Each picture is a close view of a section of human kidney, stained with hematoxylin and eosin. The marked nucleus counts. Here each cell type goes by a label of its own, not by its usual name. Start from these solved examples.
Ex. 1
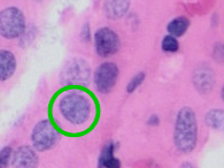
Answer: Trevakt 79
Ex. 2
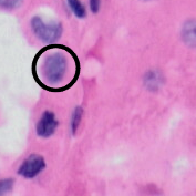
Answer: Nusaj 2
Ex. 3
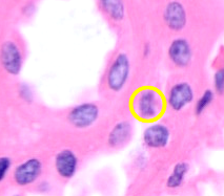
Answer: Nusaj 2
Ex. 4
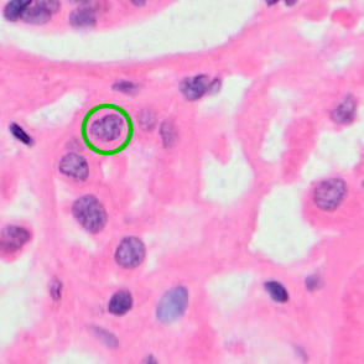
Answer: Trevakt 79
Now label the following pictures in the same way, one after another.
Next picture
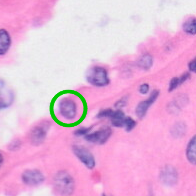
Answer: Nusaj 2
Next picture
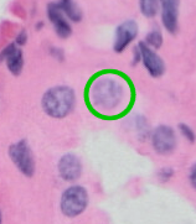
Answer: Trevakt 79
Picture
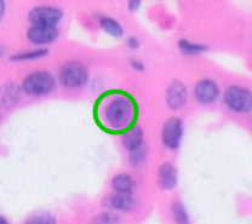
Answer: Trevakt 79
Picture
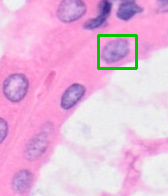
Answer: Nusaj 2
